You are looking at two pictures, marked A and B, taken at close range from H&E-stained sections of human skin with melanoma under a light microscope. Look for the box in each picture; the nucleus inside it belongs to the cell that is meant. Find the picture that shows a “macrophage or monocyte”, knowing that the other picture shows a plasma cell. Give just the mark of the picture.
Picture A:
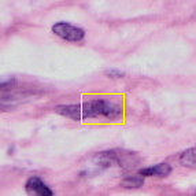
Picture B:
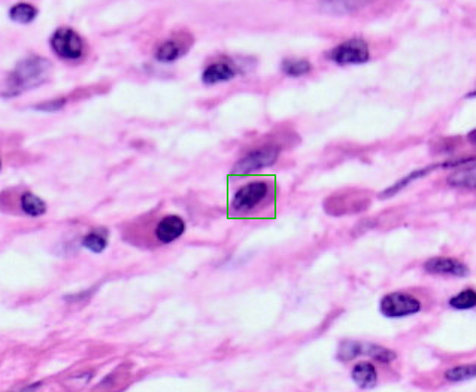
A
